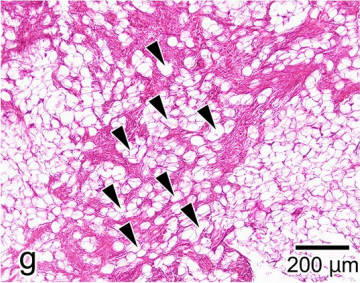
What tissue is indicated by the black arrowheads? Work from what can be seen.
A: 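Many empty, polygonal to round clear spaces with thin pink rims fill most of the field.
Conclusion: adipose tissue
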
